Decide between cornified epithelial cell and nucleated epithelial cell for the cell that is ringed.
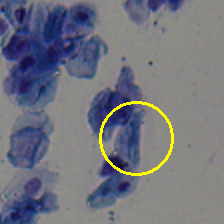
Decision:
I take the ringed cell for a cornified epithelial cell.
